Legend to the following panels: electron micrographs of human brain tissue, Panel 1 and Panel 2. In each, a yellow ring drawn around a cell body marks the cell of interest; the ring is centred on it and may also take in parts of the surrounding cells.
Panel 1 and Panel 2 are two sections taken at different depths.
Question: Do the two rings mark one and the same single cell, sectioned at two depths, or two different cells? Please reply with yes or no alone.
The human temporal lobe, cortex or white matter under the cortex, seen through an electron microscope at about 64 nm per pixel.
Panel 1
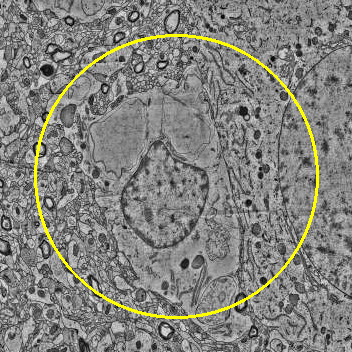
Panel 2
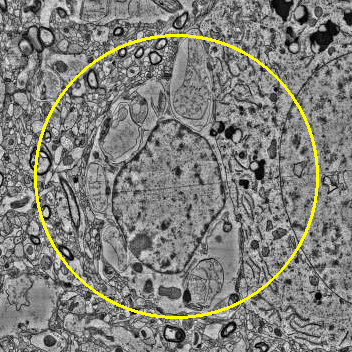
yes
